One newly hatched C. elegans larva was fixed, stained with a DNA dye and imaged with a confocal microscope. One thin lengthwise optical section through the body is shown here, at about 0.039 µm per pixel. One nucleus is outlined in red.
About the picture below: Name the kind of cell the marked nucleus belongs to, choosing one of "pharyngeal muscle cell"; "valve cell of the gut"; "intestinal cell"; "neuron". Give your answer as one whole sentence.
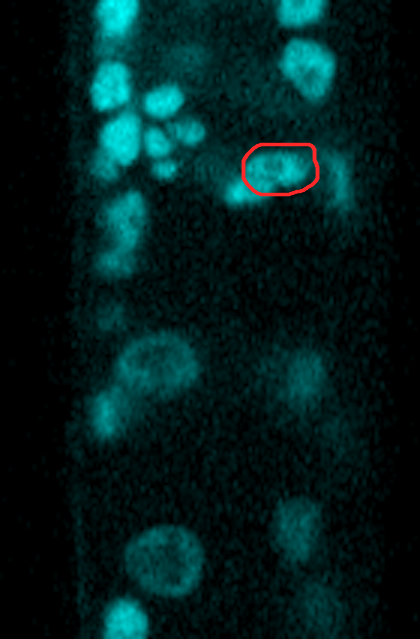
The marked nucleus belongs to a valve cell of the gut.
